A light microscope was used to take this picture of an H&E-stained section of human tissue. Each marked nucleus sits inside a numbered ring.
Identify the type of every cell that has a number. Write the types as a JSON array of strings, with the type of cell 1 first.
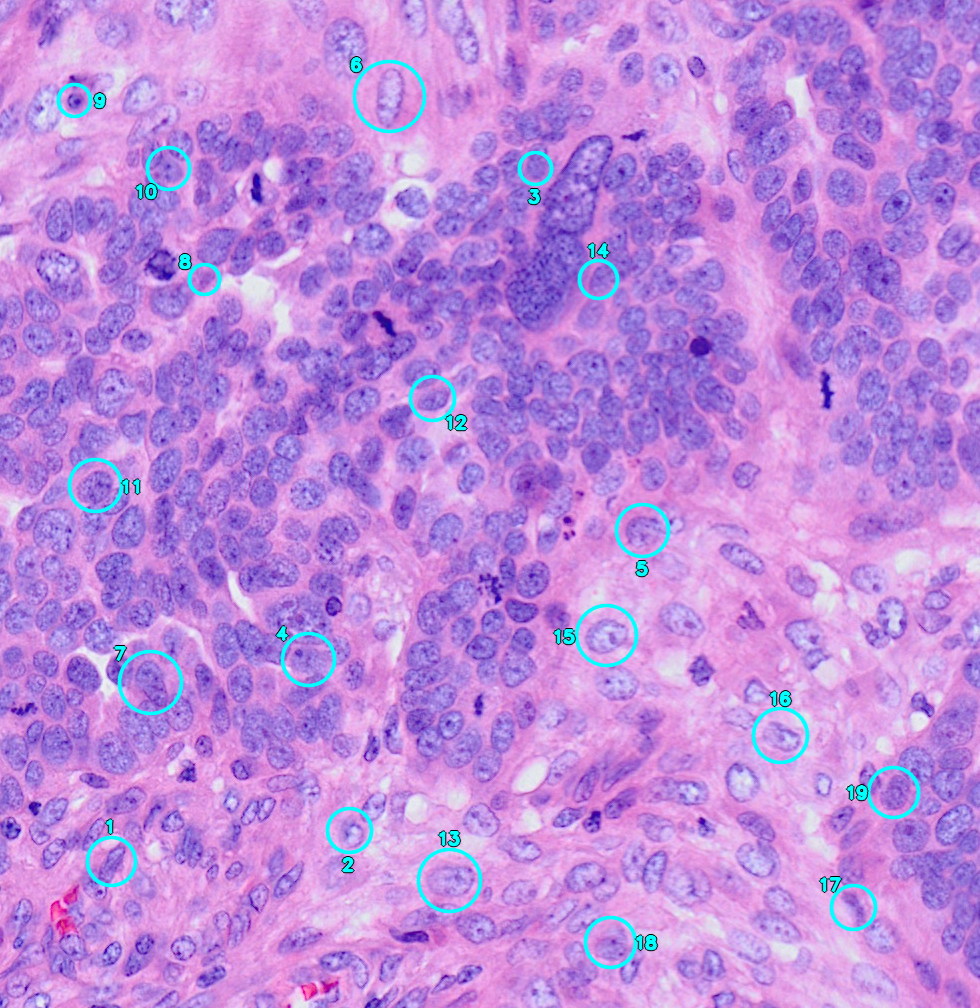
["endothelial cell", "fibroblast", "carcinoma cell", "carcinoma cell", "fibroblast", "fibroblast", "carcinoma cell", "carcinoma cell", "lymphocyte", "carcinoma cell", "carcinoma cell", "carcinoma cell", "fibroblast", "carcinoma cell", "fibroblast", "fibroblast", "fibroblast", "fibroblast", "carcinoma cell"]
